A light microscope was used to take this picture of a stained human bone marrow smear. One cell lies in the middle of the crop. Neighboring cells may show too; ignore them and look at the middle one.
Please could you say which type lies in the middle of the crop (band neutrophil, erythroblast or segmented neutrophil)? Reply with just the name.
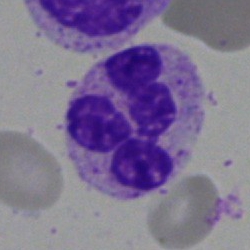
segmented neutrophil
